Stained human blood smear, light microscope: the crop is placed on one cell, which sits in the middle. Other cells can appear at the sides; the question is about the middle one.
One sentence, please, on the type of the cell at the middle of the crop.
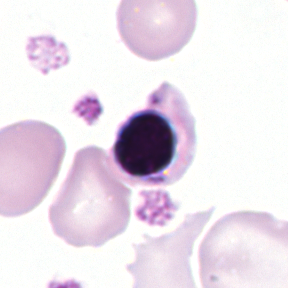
This particular crop is centered on a normoblast.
